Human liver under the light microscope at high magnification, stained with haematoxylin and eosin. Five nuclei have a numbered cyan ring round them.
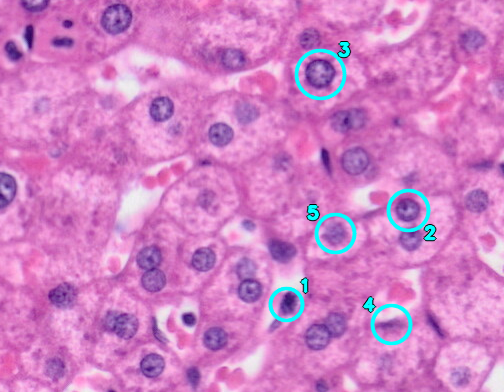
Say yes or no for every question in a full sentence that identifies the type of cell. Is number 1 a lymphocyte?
Yes, cell 1 is a lymphocyte in this tissue section.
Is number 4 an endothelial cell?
Yes, the one numbered 4 is an endothelial cell.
